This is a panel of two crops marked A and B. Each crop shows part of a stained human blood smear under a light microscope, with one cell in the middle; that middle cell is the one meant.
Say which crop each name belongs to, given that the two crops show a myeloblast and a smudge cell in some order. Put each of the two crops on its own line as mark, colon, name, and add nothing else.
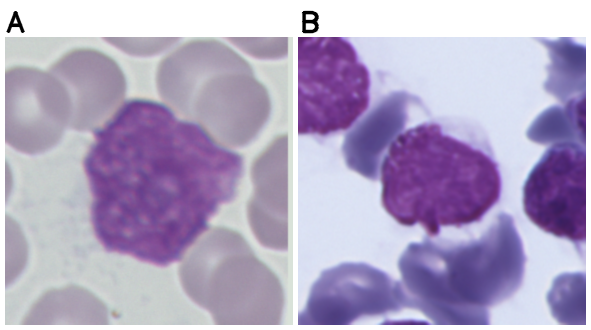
A: smudge cell
B: myeloblast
